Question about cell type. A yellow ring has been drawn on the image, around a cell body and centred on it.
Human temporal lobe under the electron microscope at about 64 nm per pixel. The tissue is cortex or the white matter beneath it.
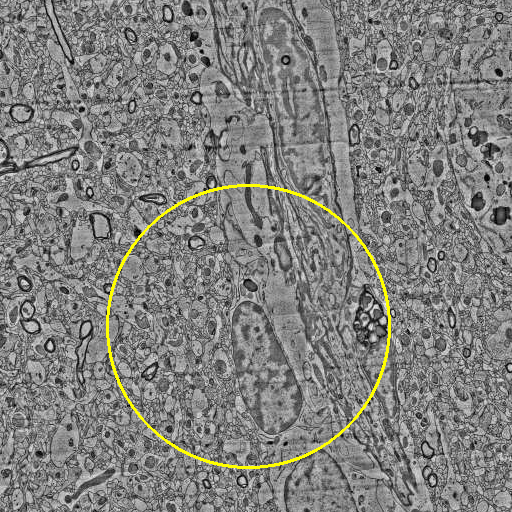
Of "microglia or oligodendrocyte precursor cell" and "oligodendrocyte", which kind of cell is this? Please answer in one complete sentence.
At the centre of the ring lies a microglial cell or oligodendrocyte precursor cell.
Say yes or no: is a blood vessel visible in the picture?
Yes, one is visible.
